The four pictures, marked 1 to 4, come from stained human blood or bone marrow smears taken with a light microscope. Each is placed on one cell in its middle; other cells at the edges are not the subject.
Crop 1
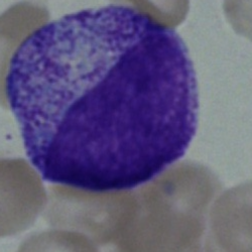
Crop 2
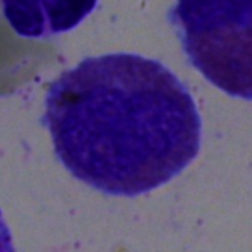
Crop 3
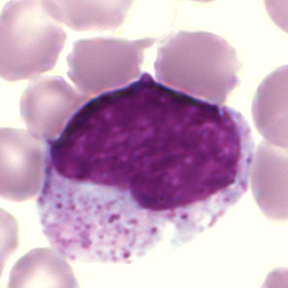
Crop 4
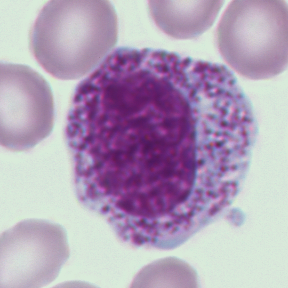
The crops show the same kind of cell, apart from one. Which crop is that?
2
